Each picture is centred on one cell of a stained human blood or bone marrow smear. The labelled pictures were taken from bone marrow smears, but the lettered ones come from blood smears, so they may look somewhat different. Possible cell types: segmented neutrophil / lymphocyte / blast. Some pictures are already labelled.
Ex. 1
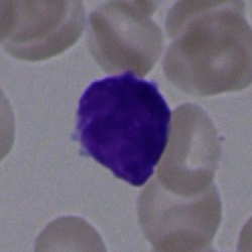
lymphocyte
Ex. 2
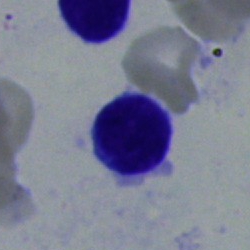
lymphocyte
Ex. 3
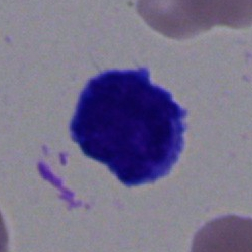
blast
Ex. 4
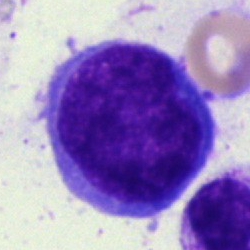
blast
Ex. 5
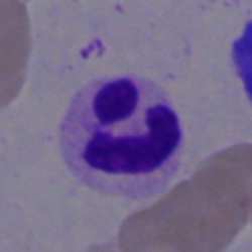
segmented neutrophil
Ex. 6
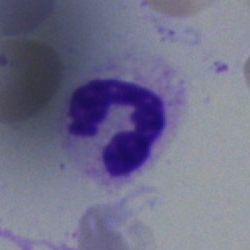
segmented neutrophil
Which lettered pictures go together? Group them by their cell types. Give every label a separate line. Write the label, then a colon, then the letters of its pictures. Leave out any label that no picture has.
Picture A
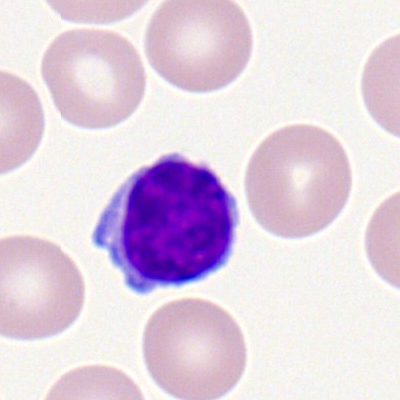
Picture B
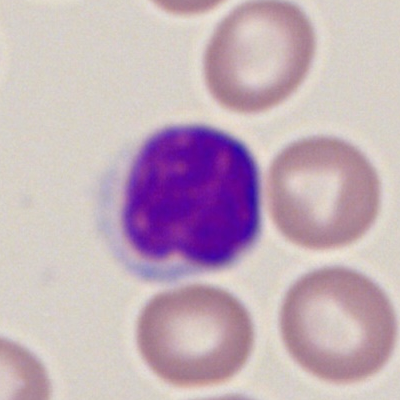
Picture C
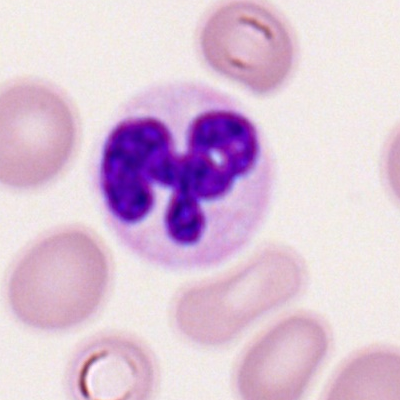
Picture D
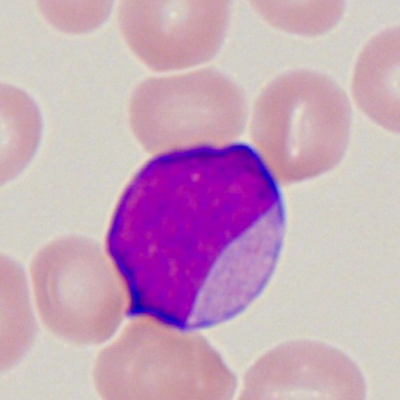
segmented neutrophil: C
lymphocyte: A, B
blast: D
